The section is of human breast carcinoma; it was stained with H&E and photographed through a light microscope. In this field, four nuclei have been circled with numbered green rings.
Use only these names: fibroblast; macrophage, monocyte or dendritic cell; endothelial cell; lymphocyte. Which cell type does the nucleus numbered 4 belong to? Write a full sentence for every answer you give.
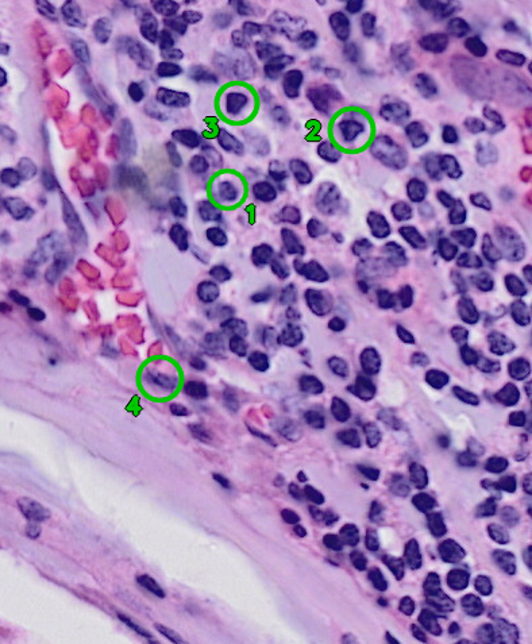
Cell 4, among those numbered, is an endothelial cell.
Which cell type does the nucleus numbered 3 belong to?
Number 3 among the marked cells is a lymphocyte.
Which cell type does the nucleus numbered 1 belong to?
The one numbered 1 among the marked cells is a lymphocyte.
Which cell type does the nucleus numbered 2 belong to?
Within this field of view, the cell labelled 2 is a lymphocyte.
